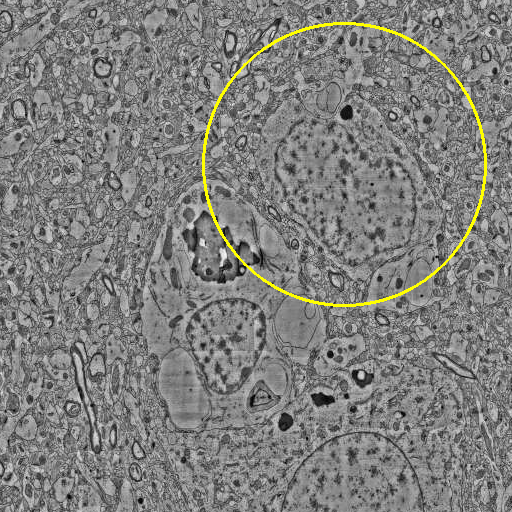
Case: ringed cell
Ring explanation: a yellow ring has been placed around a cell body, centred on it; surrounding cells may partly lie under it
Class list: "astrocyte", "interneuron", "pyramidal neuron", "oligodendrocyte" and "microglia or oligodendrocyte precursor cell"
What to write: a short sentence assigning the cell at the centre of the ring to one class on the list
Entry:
The cell at the ring's centre is an interneuron.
